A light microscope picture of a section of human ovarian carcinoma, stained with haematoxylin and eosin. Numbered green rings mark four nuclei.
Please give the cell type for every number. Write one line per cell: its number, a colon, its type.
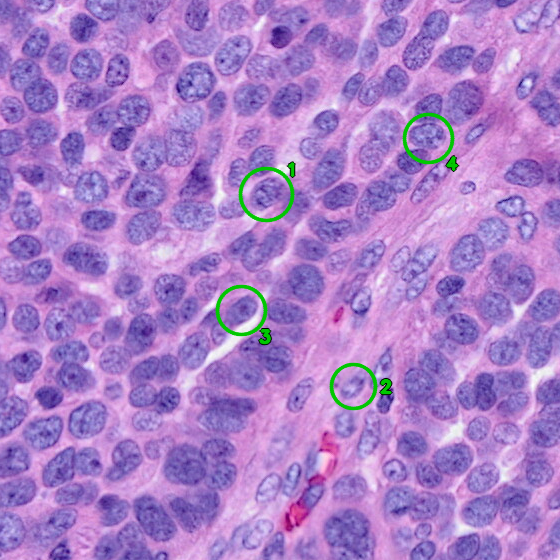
1: carcinoma cell
2: fibroblast
3: carcinoma cell
4: carcinoma cell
